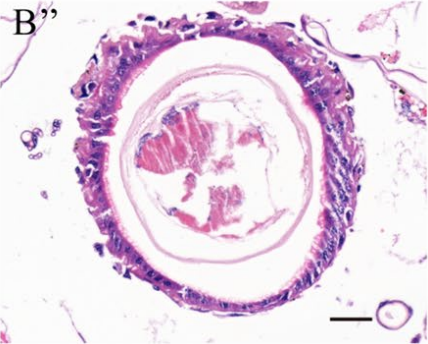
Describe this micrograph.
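This cross-section shows the midgut as a tube lined by a single epithelial layer. The epithelial cells are tall, with purple nuclei and pink to violet cytoplasm, and form a continuous ring around the lumen. Their luminal border stains more deeply pink. Within the lumen, thin pale concentric layers enclose a mass of pink-staining contents. Small sections of other tubes and loose tissue lie outside the gut wall.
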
